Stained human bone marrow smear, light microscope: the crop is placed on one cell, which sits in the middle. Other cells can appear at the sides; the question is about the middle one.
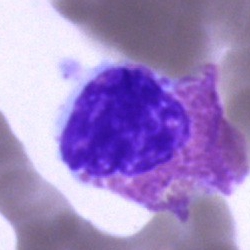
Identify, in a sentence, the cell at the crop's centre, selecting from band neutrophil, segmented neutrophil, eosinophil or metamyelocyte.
The cell positioned in the middle of the field is an eosinophil.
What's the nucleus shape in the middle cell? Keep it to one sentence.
The cell carries one compact nucleus shaped round, oval or like a kidney.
